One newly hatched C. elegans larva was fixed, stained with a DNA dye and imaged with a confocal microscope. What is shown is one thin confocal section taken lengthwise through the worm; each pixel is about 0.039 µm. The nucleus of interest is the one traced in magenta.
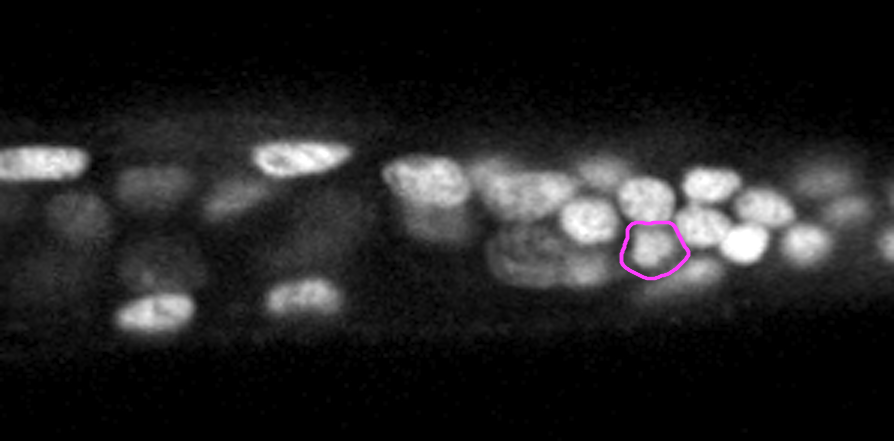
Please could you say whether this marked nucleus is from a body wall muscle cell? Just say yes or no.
no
